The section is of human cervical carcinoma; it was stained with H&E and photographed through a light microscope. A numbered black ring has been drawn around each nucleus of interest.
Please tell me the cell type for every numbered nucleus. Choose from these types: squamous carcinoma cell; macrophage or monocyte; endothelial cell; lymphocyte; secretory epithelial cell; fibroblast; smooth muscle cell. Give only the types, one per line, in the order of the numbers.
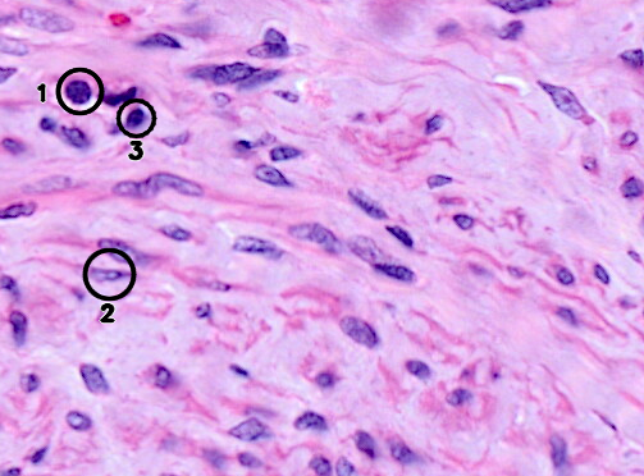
lymphocyte
smooth muscle cell
lymphocyte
